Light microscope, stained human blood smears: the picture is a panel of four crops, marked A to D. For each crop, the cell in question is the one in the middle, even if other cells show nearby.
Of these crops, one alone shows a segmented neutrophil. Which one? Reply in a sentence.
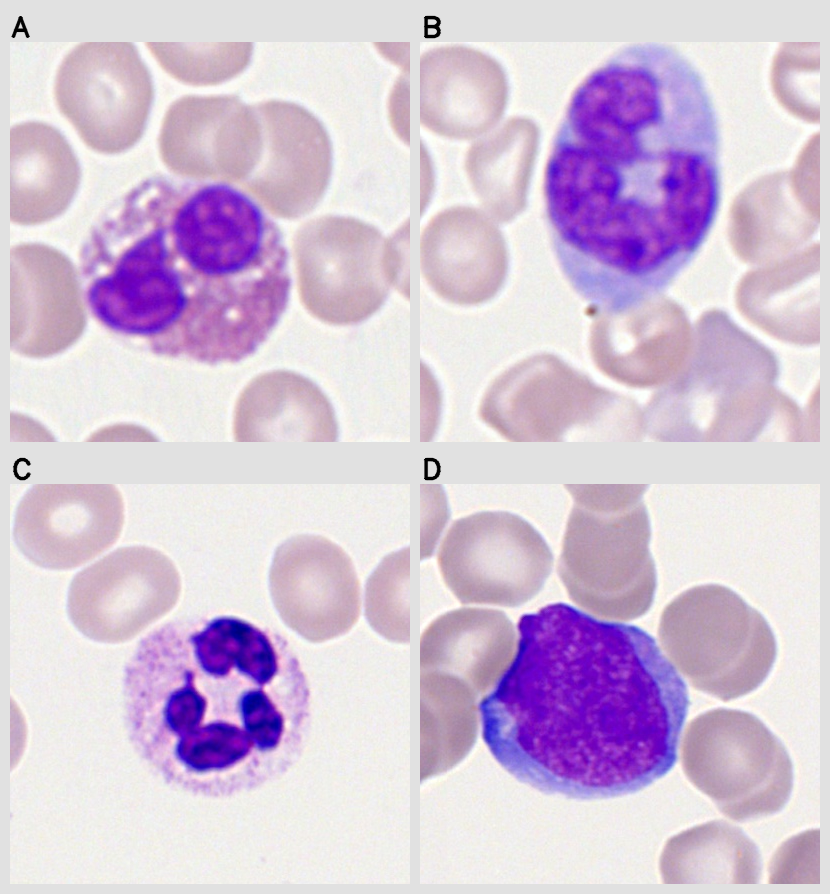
The cell identified as a segmented neutrophil is the one in crop C.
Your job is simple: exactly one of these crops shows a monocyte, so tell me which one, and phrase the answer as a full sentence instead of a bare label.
It is in crop B, among all the crops, that a monocyte is present.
